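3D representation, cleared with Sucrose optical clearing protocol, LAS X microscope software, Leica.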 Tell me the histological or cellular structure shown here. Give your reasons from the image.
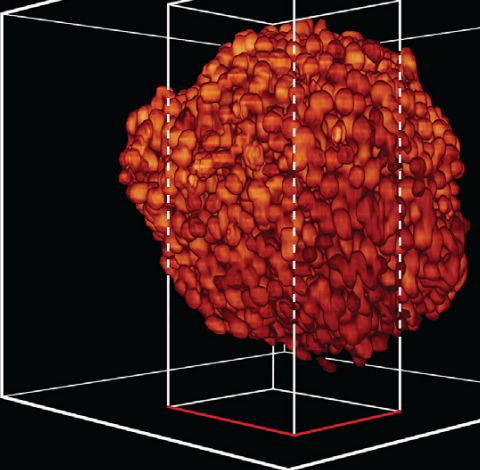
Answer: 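A roughly spherical, compact mass. The mass is built of many tightly packed rounded bodies. On this evidence: spheroid.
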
